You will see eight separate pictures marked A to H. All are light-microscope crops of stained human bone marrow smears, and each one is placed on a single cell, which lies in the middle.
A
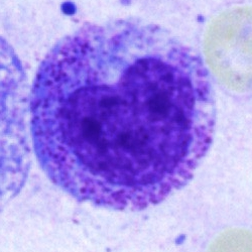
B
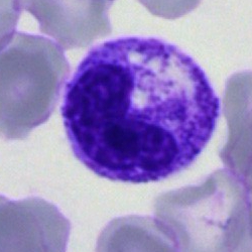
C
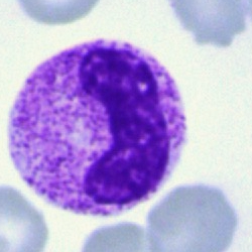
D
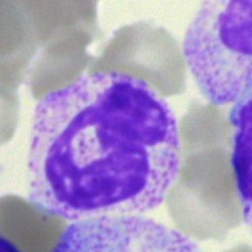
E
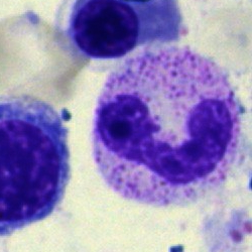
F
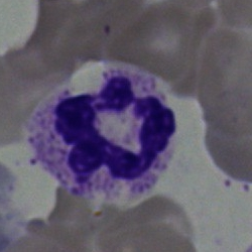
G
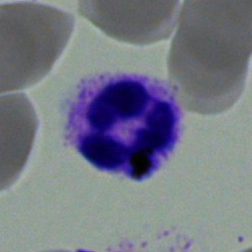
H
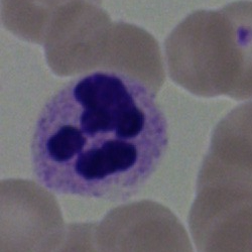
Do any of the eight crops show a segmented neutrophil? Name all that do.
D, F, G, H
